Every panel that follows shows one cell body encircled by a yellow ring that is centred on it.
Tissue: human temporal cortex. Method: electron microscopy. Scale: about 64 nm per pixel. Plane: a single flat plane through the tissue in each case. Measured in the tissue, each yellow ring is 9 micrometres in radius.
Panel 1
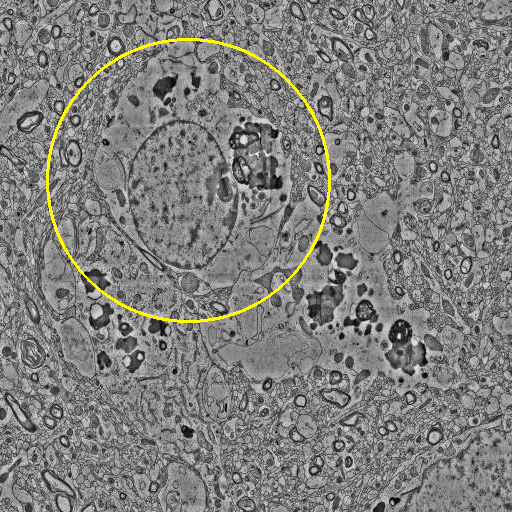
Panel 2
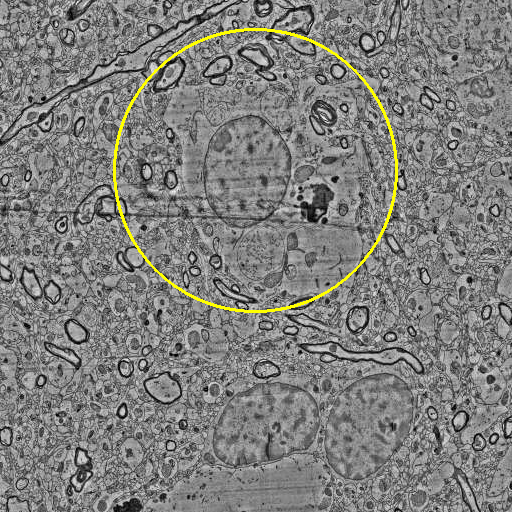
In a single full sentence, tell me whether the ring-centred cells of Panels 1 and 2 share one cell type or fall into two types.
In Panel 1 and Panel 2, the cells at the ring centres share one cell type.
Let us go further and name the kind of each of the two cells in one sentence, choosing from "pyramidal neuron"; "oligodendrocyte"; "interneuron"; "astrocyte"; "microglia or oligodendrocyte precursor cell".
In both pictures the ring is centred on an astrocyte.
